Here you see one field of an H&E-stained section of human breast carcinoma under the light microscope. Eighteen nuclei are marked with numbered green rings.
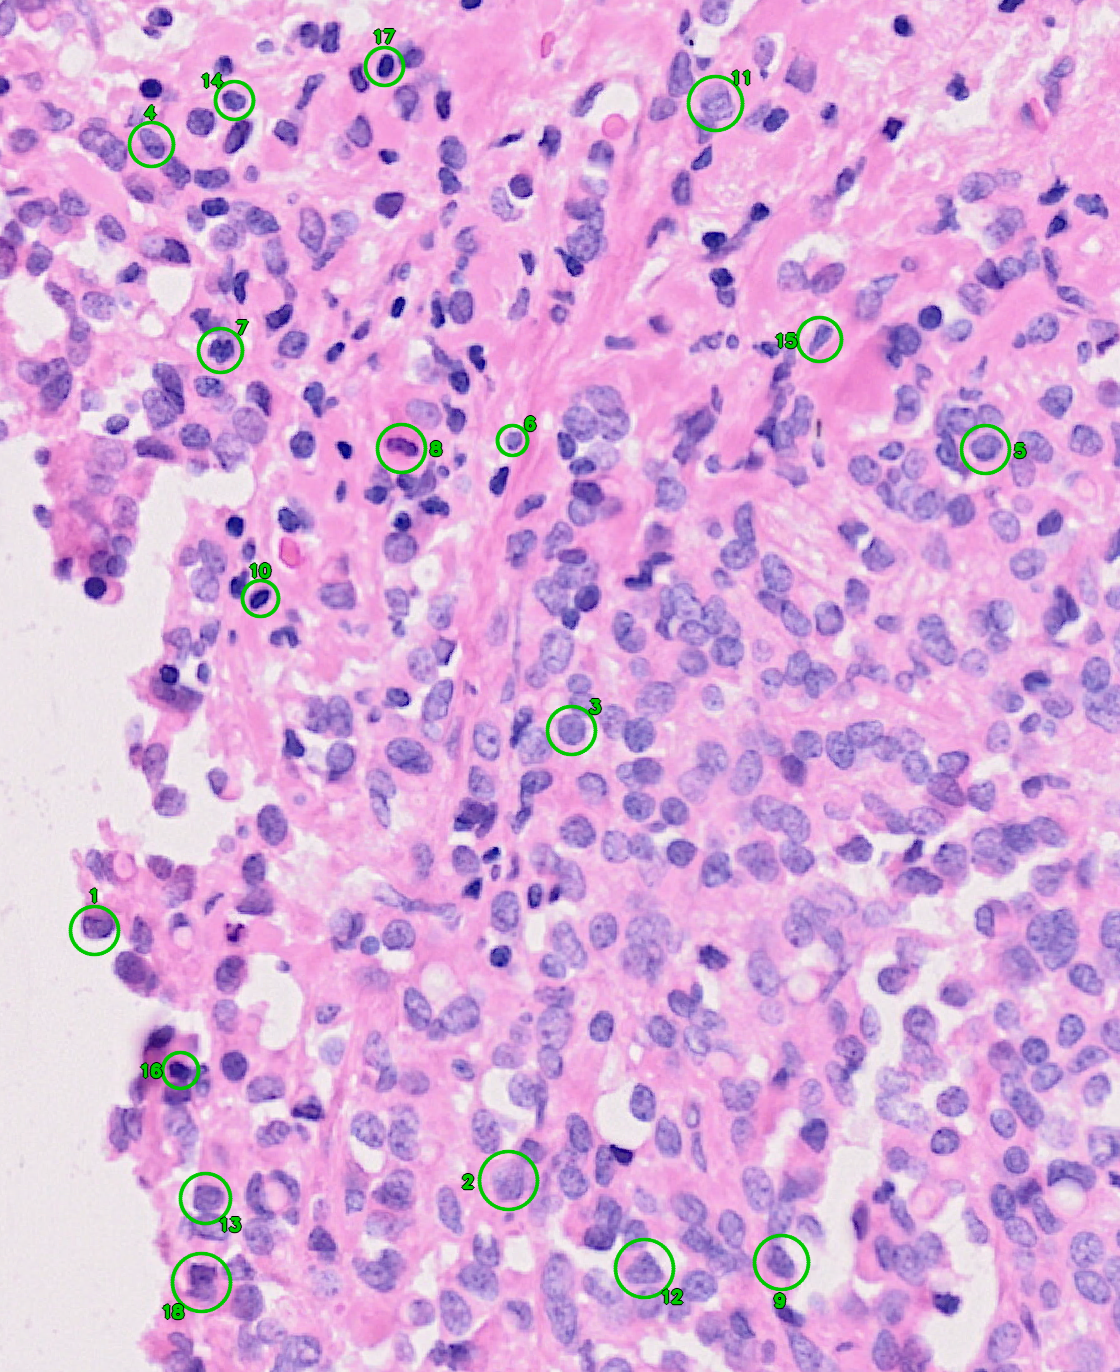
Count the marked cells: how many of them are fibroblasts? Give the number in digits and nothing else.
0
